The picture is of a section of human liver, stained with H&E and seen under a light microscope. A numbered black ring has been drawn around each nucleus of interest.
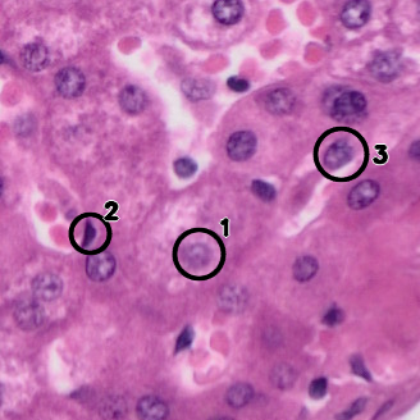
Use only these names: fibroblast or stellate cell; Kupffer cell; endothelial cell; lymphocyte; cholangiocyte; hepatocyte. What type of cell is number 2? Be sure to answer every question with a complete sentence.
Among the marked cells, number 2 is a fibroblast or stellate cell.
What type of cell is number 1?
The cell that bears the number 1 is a hepatocyte.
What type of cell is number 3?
Recognised here as a Kupffer cell is the cell numbered 3.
